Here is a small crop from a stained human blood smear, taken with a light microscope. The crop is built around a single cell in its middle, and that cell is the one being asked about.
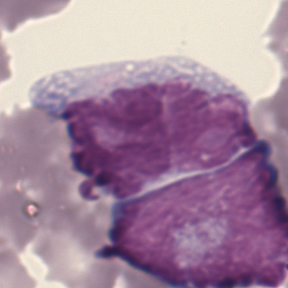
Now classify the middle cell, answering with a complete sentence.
On this slide crop, the central cell is a blast.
